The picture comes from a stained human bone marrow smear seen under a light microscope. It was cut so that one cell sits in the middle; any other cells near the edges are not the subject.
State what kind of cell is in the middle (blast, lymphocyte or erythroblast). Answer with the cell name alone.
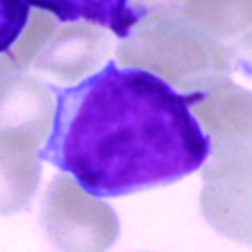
blast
